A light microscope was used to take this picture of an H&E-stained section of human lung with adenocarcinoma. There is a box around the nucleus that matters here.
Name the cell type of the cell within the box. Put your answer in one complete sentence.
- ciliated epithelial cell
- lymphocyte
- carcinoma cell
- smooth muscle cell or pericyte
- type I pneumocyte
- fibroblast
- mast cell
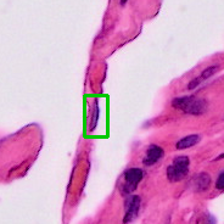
Speaking plainly, the cell within the box is nothing other than a type I pneumocyte.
